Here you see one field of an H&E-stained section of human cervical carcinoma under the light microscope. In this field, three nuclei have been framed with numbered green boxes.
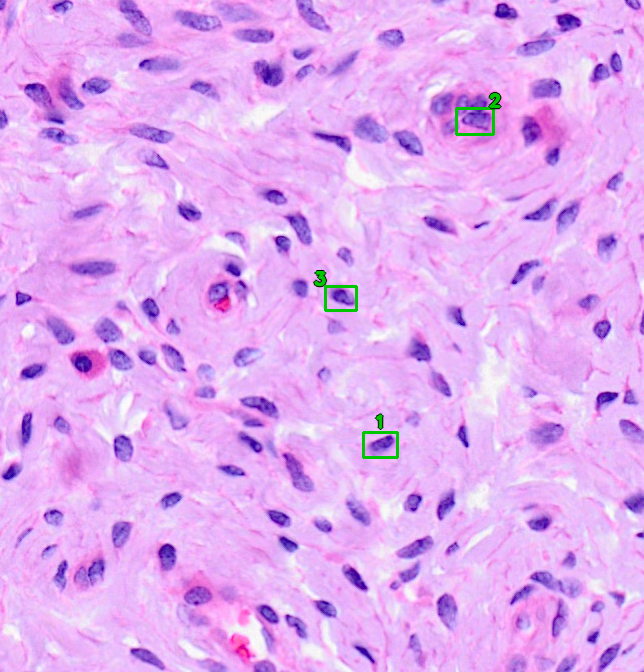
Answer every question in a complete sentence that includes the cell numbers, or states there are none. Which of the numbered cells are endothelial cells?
Cell 2 is an endothelial cell and is the only numbered cell of that kind.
